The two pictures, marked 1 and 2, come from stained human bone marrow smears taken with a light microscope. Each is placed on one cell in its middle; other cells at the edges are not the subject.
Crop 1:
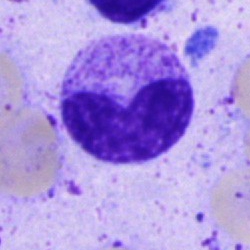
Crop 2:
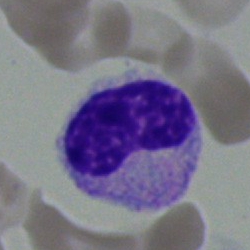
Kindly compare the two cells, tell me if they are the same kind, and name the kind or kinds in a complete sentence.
Yes, both crops show metamyelocytes as the central cells.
